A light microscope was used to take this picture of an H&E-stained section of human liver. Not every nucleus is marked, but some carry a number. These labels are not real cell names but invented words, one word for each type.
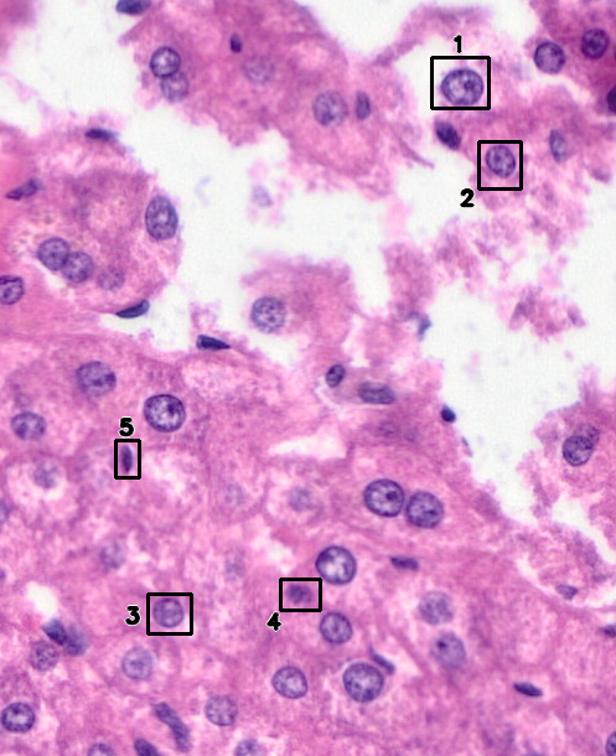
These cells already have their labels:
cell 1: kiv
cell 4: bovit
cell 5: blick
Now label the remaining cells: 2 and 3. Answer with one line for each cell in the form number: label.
2: kiv
3: kiv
